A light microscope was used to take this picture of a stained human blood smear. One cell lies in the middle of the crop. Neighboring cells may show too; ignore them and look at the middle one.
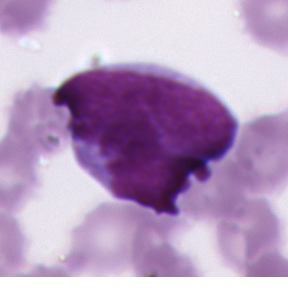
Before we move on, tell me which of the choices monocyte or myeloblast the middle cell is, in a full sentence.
Looking at the middle of the crop, the cell there is a myeloblast.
